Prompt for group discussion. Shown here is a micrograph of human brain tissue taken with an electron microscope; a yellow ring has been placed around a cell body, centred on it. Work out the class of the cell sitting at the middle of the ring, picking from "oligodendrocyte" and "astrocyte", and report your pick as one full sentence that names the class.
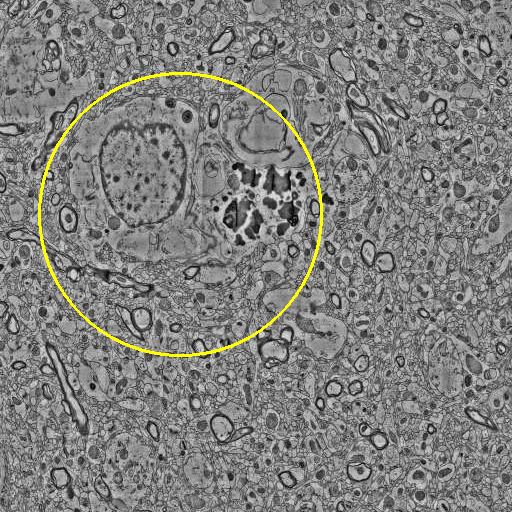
The cell sitting at the middle of the yellow ring is an astrocyte.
